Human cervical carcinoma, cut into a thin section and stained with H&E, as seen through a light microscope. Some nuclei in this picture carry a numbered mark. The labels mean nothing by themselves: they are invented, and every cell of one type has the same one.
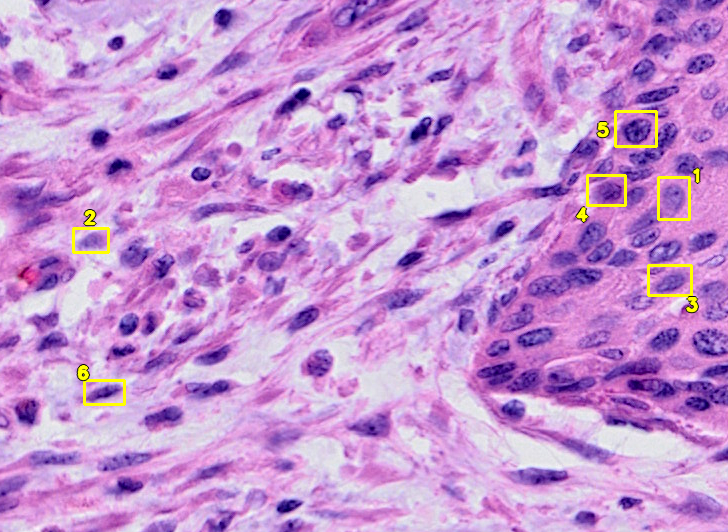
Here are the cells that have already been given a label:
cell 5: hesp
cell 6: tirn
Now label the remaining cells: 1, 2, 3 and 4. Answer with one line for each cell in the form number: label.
1: hesp
2: tirn
3: hesp
4: hesp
